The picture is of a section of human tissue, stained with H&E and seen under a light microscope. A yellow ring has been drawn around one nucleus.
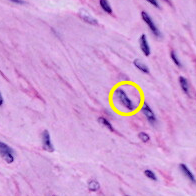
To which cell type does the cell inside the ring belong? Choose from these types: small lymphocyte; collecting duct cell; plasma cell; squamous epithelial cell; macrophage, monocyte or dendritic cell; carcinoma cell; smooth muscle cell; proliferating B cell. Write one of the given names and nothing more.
smooth muscle cell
